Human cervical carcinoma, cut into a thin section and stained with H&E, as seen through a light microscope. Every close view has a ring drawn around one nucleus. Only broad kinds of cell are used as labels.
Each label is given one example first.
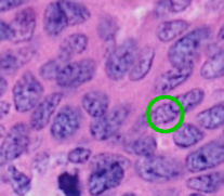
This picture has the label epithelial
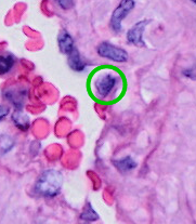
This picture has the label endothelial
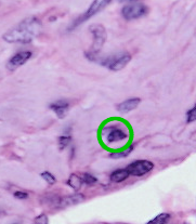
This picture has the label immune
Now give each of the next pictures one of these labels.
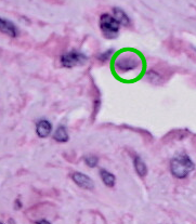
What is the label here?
endothelial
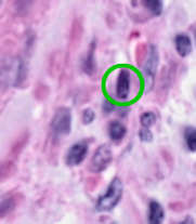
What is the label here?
immune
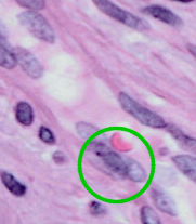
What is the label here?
endothelial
